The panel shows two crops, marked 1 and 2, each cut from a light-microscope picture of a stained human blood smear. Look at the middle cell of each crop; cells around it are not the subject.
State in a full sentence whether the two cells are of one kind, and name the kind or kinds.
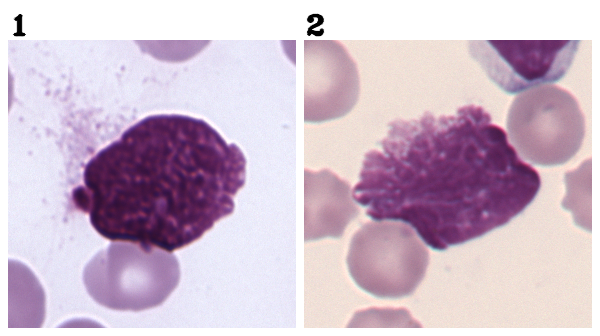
Yes, what both crops show is smudge cells.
